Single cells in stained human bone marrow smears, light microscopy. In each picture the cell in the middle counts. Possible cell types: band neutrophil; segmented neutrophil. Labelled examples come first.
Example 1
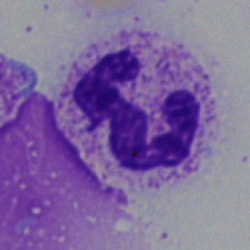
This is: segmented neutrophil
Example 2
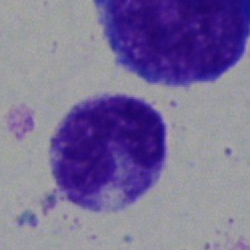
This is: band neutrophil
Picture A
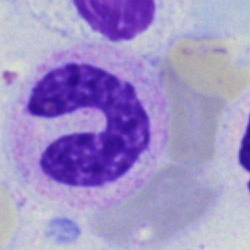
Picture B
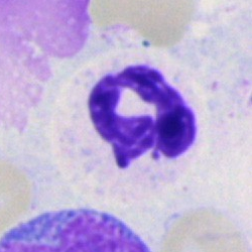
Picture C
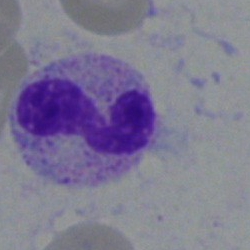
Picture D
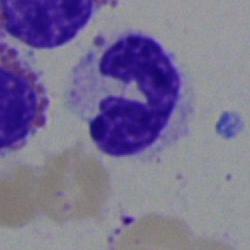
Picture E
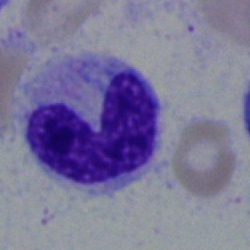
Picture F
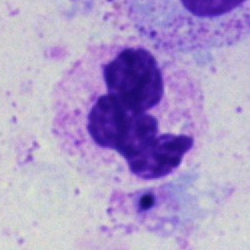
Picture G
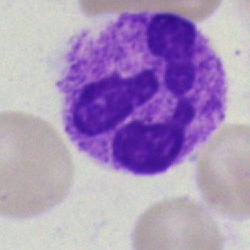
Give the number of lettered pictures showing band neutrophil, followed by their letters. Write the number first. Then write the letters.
4, namely A, C, D, E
